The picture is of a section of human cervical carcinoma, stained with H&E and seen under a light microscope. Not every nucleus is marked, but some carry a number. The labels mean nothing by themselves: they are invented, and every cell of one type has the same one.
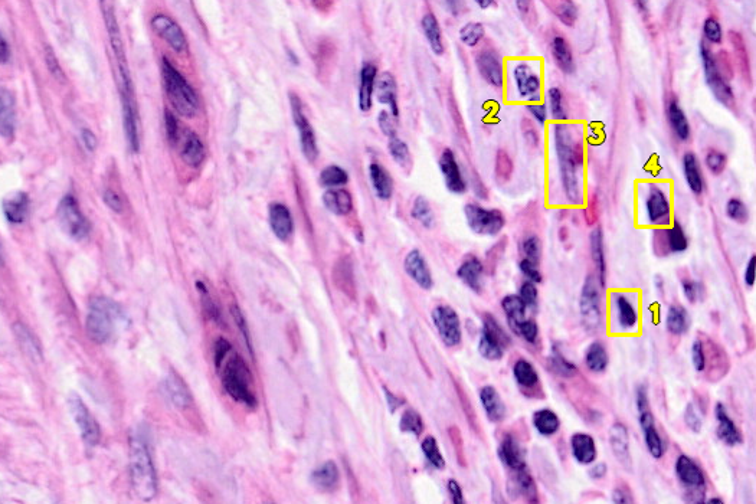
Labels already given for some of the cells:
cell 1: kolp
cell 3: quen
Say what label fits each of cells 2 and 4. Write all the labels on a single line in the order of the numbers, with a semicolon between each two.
kolp; kolp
